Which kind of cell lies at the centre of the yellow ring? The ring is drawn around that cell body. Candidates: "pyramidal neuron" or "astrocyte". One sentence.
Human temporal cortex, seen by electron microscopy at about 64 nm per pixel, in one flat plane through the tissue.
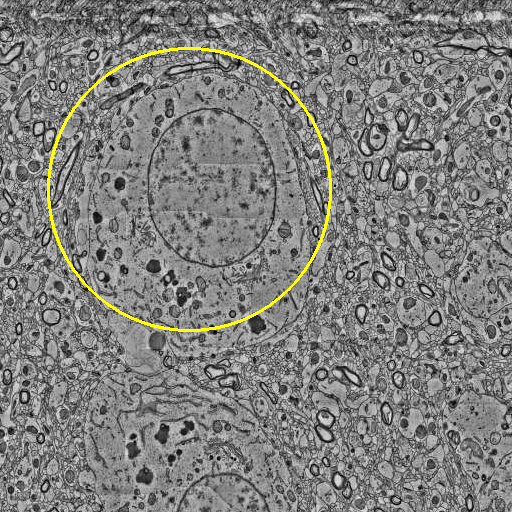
Lying at the centre of the ring is a pyramidal neuron.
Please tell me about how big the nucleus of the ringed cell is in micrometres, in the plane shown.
The nucleus of the ringed cell is approximately 10 by 8 micrometres in this plane.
